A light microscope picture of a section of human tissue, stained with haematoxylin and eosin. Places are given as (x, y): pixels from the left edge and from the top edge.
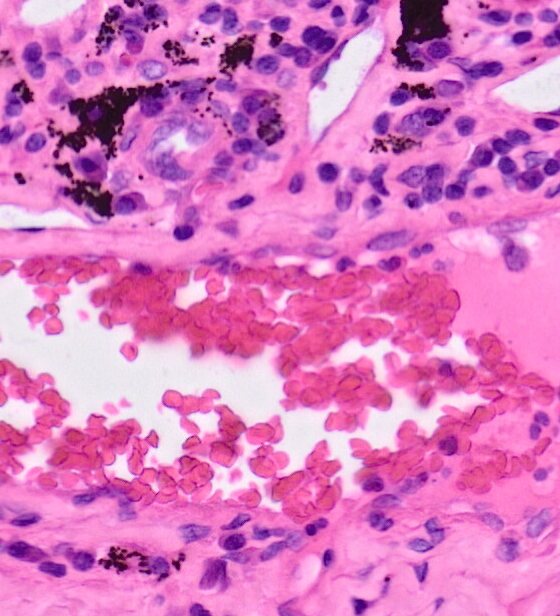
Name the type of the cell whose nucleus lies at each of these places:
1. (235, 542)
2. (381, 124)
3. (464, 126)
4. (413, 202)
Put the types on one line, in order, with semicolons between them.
plasma cell; lymphocyte; lymphocyte; lymphocyte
